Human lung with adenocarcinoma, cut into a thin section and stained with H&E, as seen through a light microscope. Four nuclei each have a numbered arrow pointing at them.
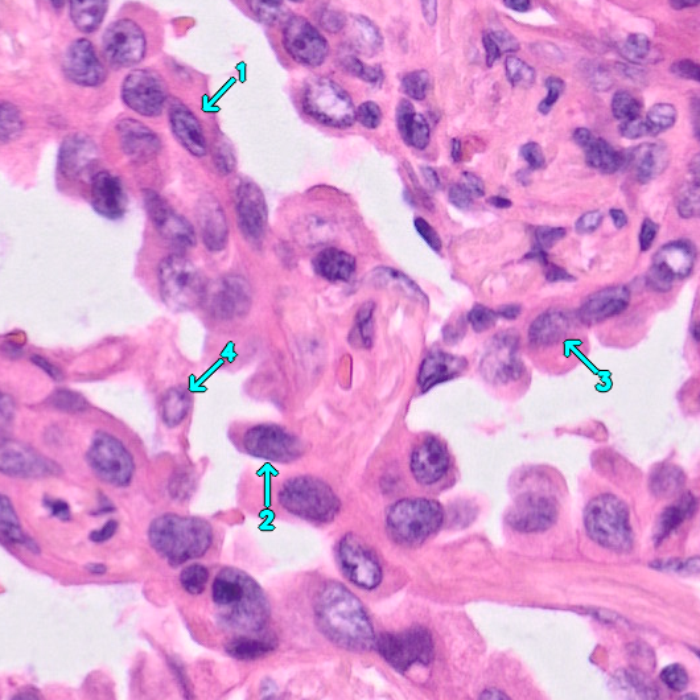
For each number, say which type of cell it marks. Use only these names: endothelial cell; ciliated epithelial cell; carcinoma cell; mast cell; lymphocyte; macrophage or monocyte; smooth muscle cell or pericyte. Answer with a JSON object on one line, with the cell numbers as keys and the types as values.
{"1": "carcinoma cell", "2": "carcinoma cell", "3": "carcinoma cell", "4": "macrophage or monocyte"}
